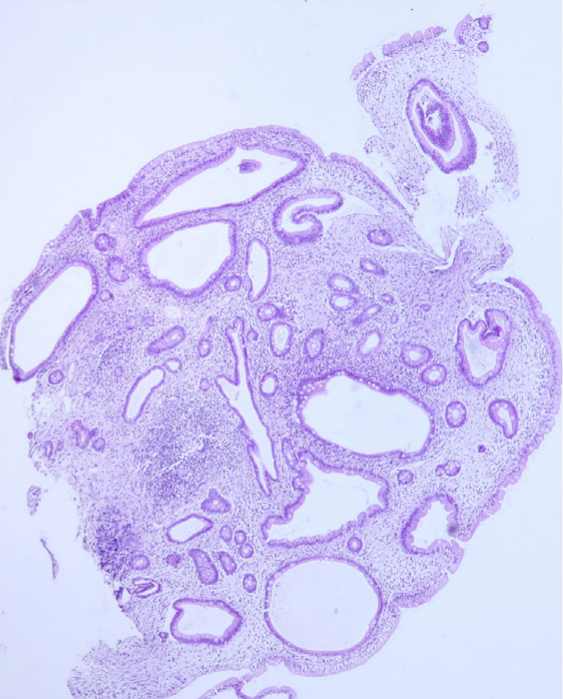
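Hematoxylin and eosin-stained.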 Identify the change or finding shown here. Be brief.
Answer: Cystic dilation of glands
